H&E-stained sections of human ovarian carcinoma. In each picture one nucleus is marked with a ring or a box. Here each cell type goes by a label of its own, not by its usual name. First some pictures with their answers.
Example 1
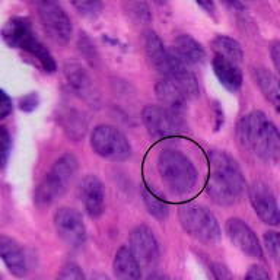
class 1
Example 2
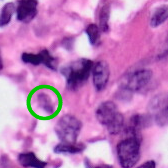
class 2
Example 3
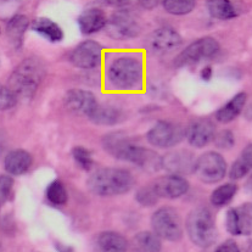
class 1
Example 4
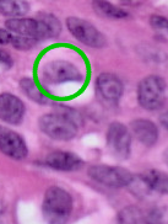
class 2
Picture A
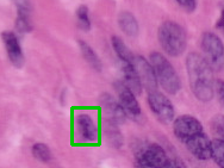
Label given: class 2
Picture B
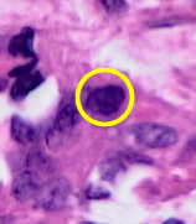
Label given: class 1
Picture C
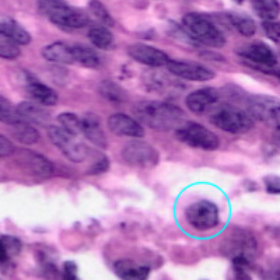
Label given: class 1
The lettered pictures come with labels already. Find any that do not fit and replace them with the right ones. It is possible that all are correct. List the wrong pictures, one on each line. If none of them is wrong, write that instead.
C is labelled class 1; correct label: class 2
